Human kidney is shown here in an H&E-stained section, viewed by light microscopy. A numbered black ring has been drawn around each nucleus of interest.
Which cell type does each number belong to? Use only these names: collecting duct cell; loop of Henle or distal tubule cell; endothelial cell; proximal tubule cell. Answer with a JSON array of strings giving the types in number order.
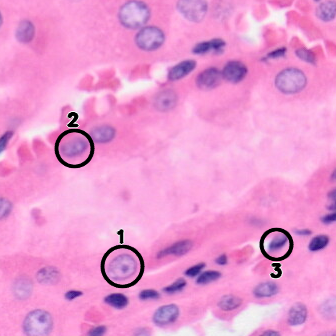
["proximal tubule cell", "proximal tubule cell", "endothelial cell"]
